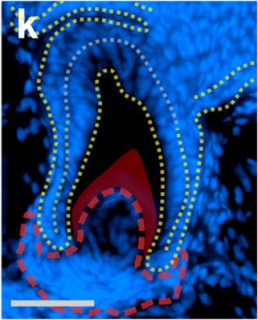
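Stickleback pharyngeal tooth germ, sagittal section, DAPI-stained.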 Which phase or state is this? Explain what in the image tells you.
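An elongated bell of epithelium encloses a mesenchymal core. A conical matrix cap has formed at the apex. The tooth has not yet erupted through the surface.
Conclusion: late bell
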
